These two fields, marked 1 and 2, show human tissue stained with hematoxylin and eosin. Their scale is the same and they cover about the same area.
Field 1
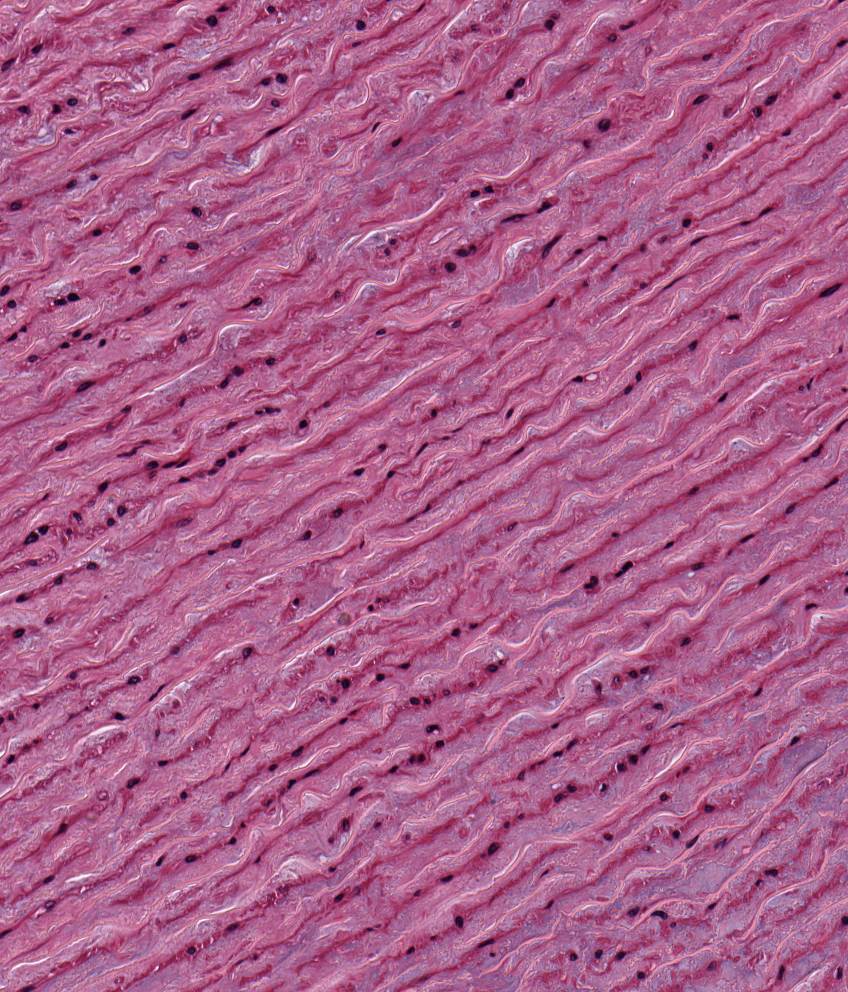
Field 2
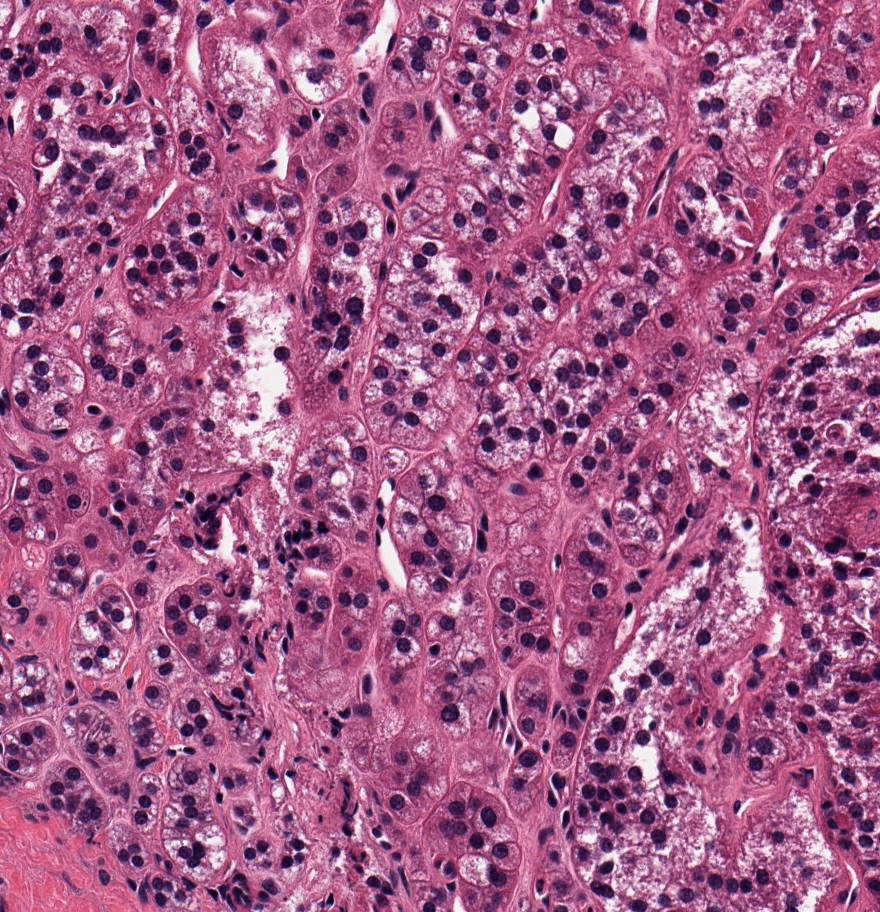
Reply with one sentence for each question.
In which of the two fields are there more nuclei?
There are more nuclei in field 2.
